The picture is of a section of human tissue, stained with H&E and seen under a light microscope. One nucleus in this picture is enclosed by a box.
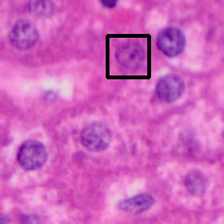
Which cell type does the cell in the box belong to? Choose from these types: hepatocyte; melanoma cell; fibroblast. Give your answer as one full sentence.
The correct response here is that the cell in the box is a hepatocyte.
